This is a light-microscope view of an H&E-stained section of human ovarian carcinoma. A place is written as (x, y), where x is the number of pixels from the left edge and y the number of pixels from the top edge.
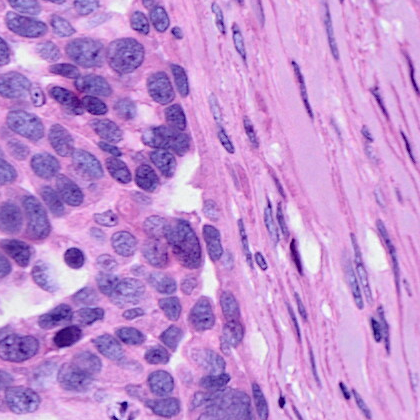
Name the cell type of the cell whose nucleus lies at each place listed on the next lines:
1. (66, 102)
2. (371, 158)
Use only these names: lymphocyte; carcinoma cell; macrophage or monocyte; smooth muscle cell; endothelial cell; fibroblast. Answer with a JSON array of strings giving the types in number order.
["carcinoma cell", "fibroblast"]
